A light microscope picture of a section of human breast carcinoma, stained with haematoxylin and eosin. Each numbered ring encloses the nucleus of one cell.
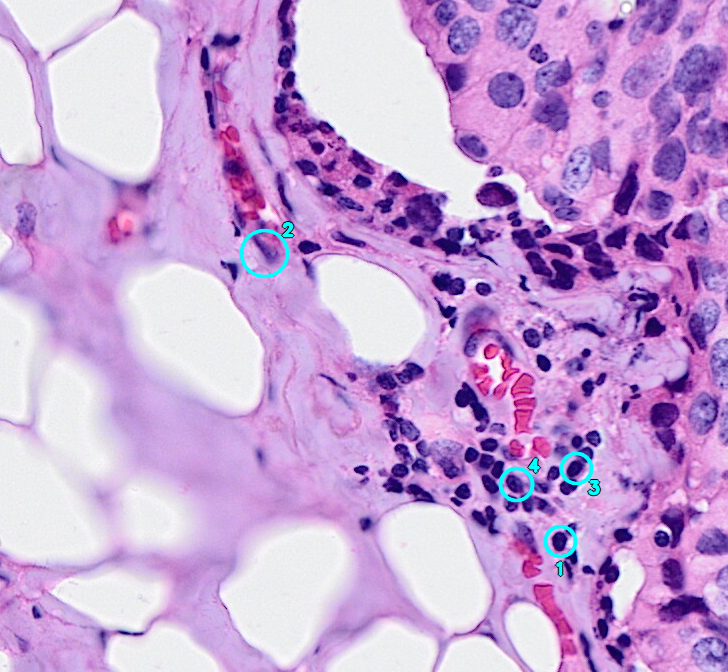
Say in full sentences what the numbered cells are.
Cells 1, 3 and 4 are lymphocytes. Cell 2 is an endothelial cell.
